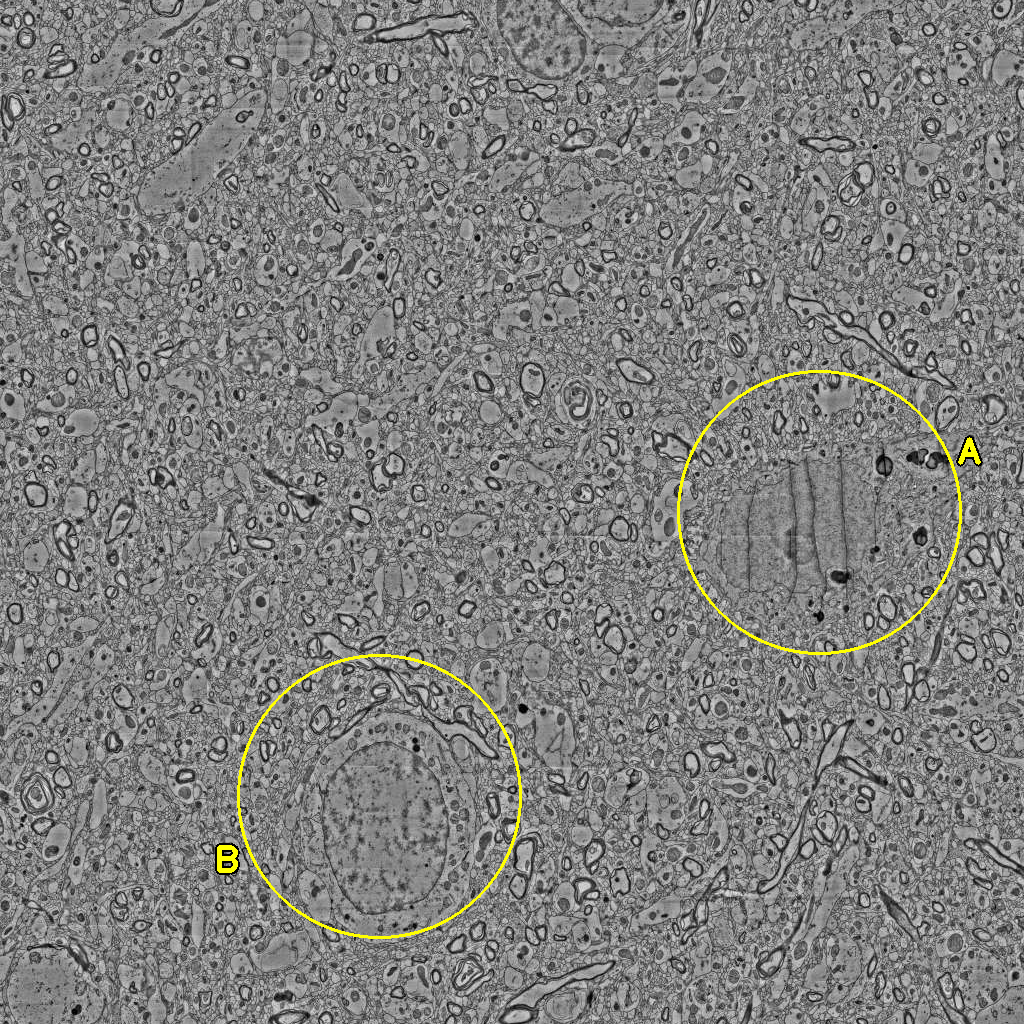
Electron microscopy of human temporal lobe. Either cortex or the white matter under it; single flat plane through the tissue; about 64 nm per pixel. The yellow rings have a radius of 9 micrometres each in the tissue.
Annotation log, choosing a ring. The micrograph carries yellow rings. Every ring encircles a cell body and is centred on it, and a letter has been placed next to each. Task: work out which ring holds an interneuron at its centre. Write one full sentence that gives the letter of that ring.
In the micrograph, the ring centred on the cell asked for carries the letter B.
